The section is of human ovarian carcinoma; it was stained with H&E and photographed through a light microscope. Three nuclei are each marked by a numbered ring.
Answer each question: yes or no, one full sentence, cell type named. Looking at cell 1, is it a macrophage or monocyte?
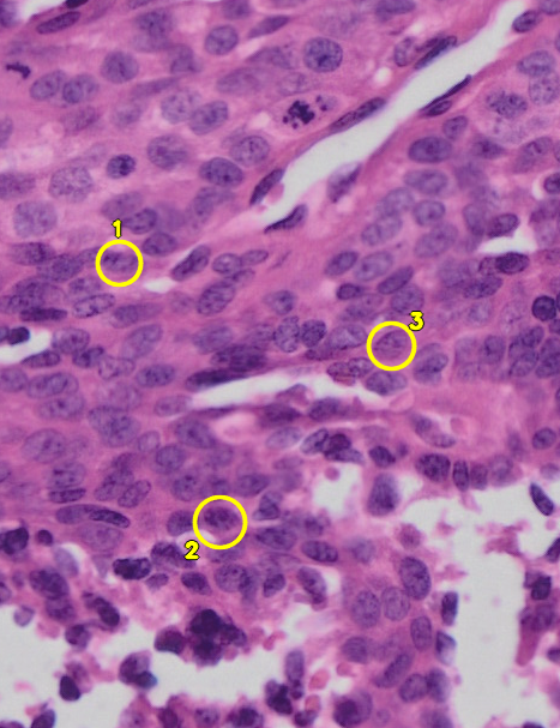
Yes, the cell carrying label 1 is a macrophage or monocyte.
